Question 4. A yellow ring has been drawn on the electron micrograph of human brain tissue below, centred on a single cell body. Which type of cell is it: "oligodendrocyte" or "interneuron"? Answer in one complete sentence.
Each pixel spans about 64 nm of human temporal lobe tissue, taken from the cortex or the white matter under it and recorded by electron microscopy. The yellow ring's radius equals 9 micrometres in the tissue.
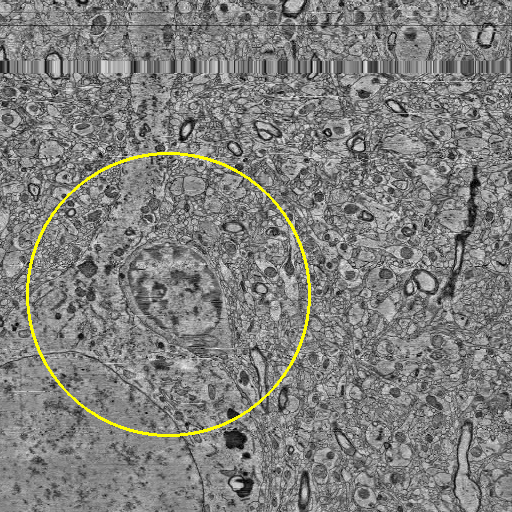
This cell body belongs to an oligodendrocyte.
